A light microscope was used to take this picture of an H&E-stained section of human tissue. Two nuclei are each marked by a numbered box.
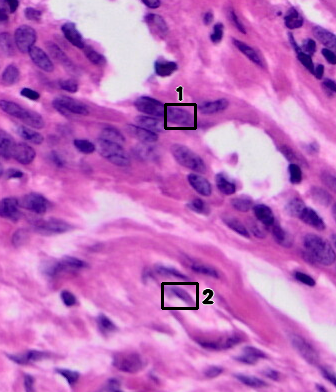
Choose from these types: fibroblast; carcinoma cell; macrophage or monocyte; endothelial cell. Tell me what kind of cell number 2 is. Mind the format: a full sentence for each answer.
The nucleus labelled 2 belongs to a fibroblast.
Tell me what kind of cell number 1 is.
Number 1 among the marked cells is a carcinoma cell.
